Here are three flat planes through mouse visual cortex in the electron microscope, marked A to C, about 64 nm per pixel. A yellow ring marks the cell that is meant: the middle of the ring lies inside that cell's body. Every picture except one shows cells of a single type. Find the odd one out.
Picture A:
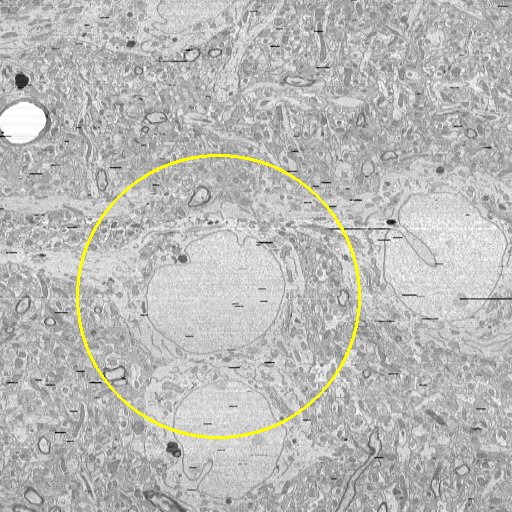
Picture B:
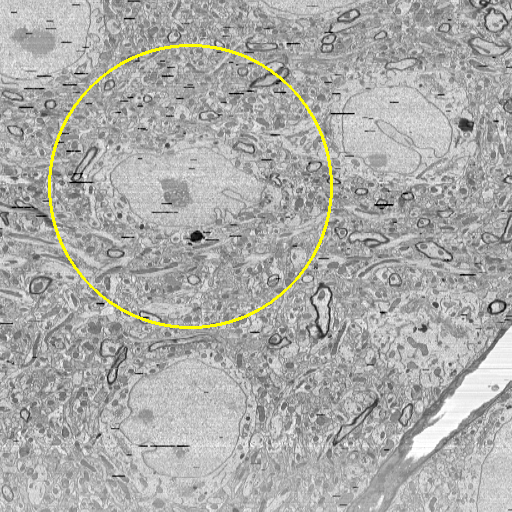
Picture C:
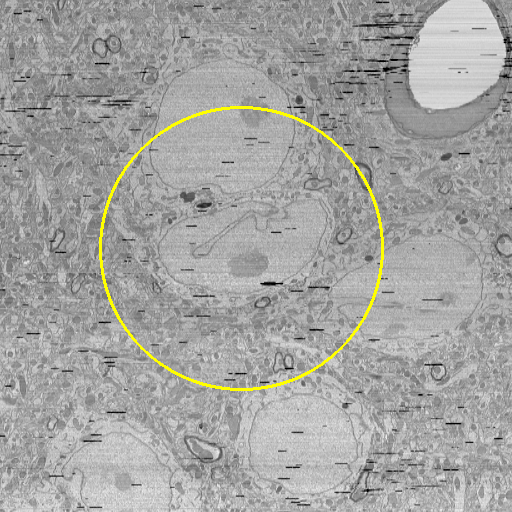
Picture A differs, because its cell is an excitatory neuron and the rest are inhibitory neurons.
